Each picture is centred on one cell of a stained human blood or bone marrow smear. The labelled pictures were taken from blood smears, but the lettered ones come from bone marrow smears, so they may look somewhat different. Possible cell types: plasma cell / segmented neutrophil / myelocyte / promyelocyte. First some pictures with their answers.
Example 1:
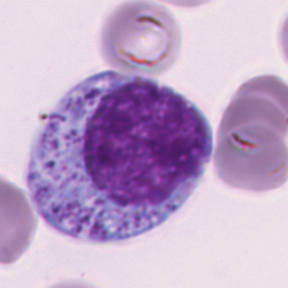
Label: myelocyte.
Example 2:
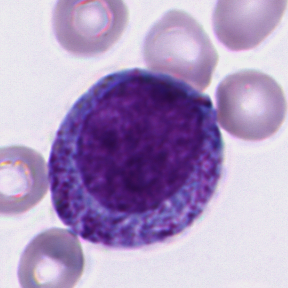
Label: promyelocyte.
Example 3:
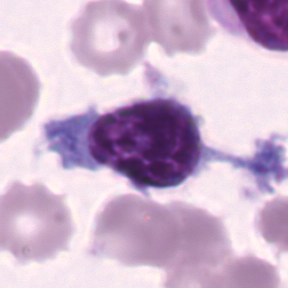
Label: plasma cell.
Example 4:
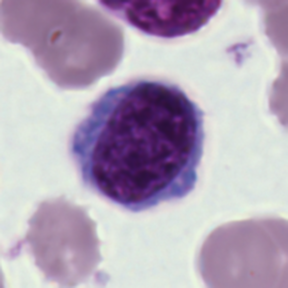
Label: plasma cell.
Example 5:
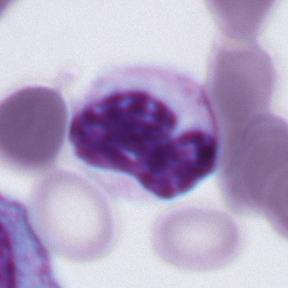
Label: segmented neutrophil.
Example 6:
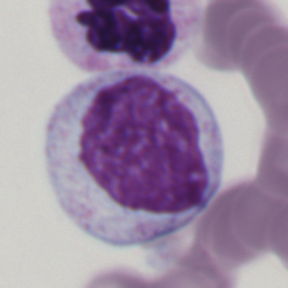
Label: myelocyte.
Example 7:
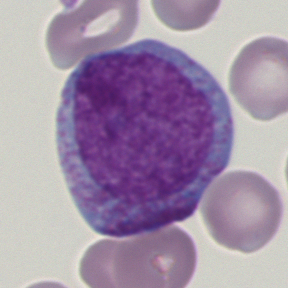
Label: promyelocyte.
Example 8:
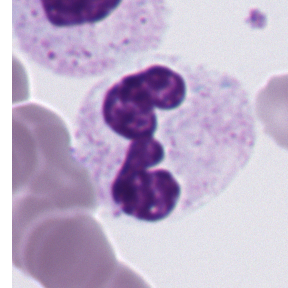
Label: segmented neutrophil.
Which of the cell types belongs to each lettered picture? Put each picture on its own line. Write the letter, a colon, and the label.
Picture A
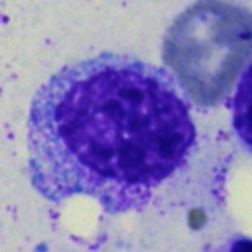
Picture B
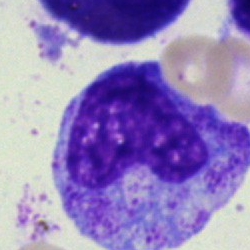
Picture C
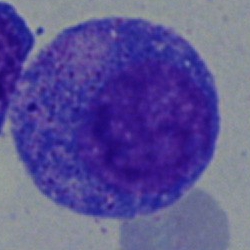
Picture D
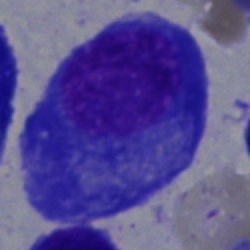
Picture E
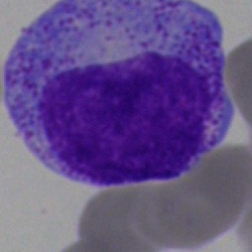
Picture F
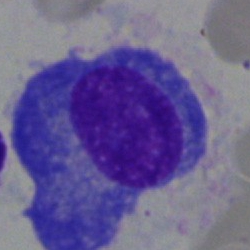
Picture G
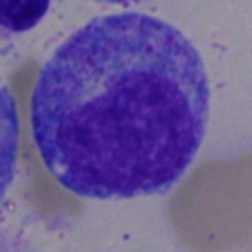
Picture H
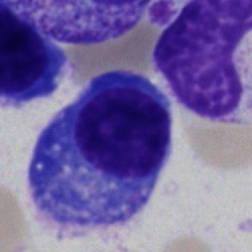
A: myelocyte.
B: promyelocyte.
C: promyelocyte.
D: plasma cell.
E: promyelocyte.
F: plasma cell.
G: promyelocyte.
H: plasma cell.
